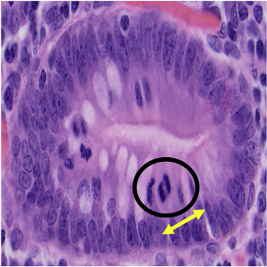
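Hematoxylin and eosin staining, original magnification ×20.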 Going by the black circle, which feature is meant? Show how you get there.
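Mitotic figure. Inside the circle, dark condensed chromatin bars lie within a cell of the epithelial lining. No round nucleus with a membrane is visible inside the circle.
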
